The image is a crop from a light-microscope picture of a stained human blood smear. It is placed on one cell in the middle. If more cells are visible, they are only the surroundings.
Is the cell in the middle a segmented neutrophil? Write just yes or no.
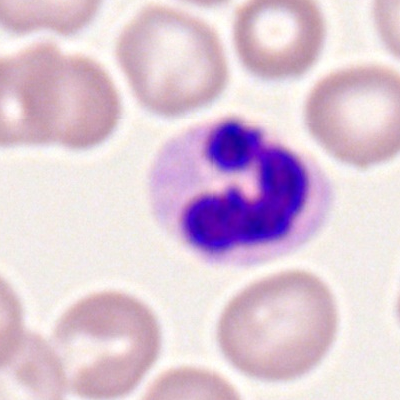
yes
